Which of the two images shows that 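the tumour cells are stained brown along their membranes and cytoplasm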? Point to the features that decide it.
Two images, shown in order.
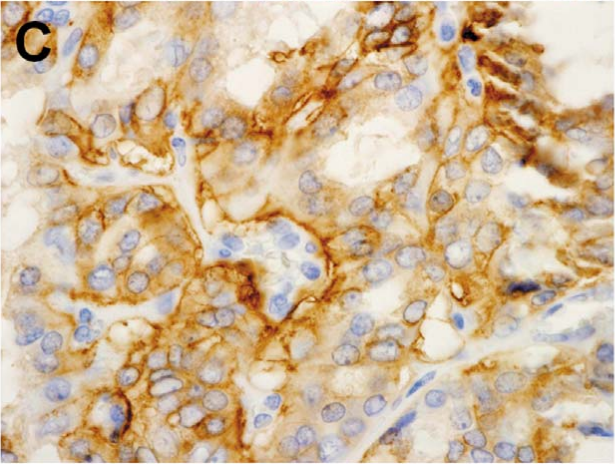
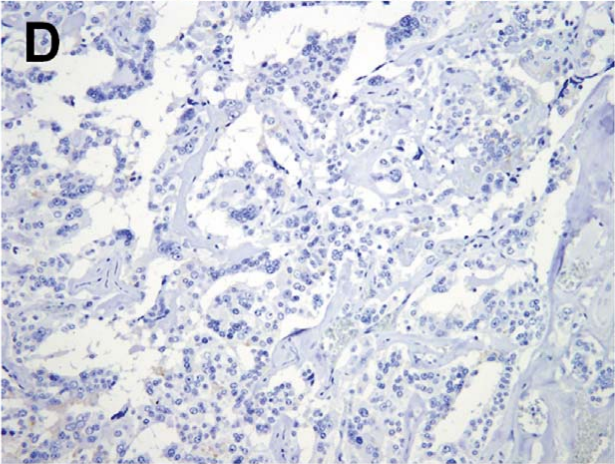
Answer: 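The first image. Second image: tumour cells show only blue nuclei and pale cytoplasm, no brown colour. First image: brown colour outlines cell borders and fills much of the cytoplasm around blue nuclei.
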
